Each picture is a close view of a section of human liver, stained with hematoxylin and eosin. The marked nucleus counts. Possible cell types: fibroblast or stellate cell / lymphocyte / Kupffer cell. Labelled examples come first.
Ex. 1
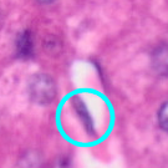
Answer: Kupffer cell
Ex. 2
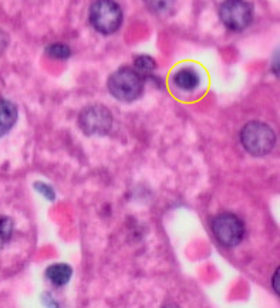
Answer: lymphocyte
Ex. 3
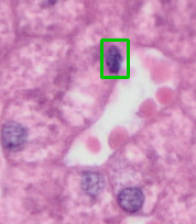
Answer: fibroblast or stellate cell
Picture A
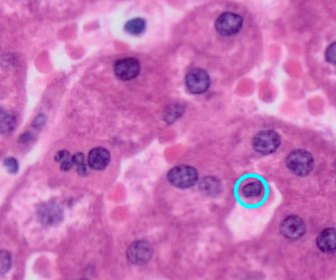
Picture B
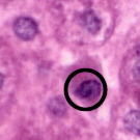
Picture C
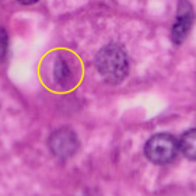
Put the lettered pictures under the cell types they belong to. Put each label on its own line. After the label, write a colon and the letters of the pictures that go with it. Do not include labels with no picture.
fibroblast or stellate cell: C
Kupffer cell: A, B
